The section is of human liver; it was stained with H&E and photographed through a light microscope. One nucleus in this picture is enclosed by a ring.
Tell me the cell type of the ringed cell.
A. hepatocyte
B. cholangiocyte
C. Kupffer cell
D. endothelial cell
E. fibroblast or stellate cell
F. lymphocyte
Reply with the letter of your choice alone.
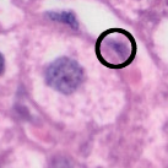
C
